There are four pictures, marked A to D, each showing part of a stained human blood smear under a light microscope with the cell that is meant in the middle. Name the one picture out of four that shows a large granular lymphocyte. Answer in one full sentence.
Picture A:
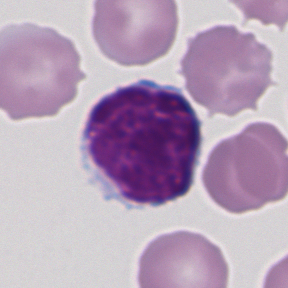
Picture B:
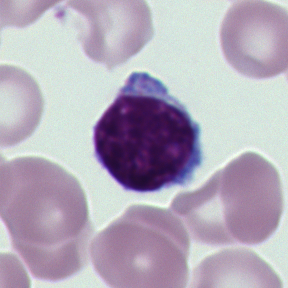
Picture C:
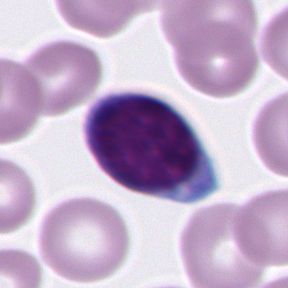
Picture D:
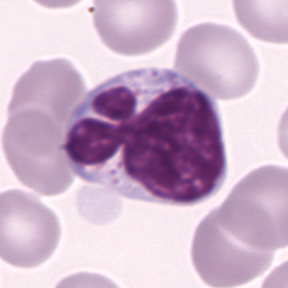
Picture D is the one that shows the large granular lymphocyte.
